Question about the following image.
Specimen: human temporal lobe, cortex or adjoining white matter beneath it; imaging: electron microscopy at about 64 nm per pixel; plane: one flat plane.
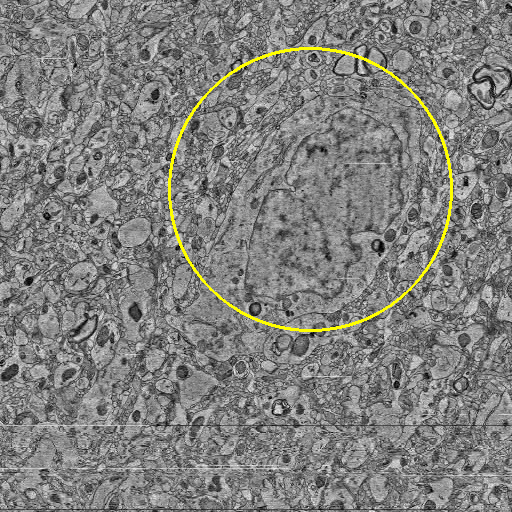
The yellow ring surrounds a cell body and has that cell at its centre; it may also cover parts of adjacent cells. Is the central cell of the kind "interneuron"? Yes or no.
Yes, it is of that kind.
